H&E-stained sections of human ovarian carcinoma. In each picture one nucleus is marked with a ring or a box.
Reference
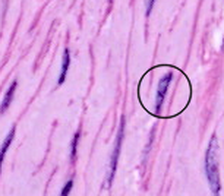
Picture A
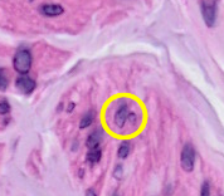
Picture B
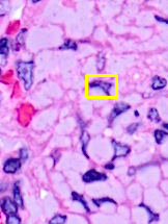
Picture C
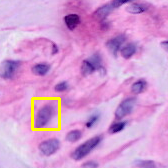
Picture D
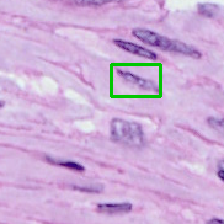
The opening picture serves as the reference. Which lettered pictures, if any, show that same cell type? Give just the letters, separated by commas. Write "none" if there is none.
B, D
